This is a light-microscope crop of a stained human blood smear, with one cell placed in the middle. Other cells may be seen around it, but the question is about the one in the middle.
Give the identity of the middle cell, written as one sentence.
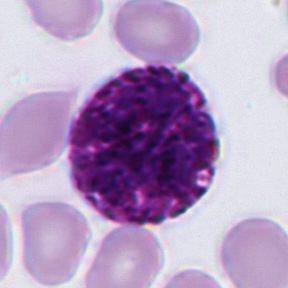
The middle cell in this particular crop is a basophil.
